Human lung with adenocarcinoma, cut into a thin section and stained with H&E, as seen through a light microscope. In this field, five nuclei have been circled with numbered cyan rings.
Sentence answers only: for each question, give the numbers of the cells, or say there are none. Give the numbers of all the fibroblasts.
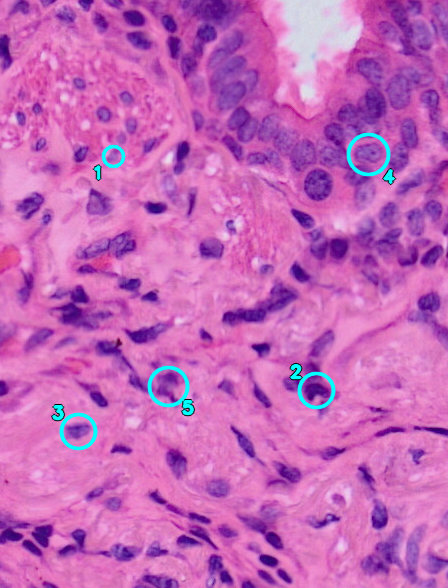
The marked and numbered cells comprise no fibroblasts.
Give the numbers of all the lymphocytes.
Exactly one of the numbered cells is a lymphocyte, namely cell 3.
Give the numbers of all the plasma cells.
The cells marked by the numbers 2 and 5 are plasma cells.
